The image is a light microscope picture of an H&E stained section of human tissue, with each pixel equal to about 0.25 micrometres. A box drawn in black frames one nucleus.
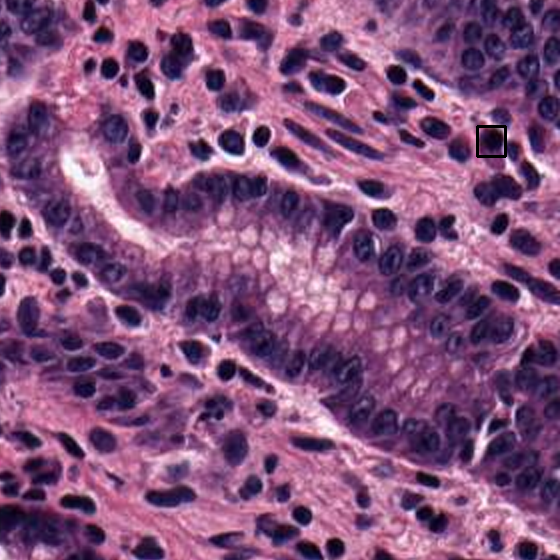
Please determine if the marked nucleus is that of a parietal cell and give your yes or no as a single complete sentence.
No, belonging to a supporting cell, the marked nucleus is not part of a parietal cell.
